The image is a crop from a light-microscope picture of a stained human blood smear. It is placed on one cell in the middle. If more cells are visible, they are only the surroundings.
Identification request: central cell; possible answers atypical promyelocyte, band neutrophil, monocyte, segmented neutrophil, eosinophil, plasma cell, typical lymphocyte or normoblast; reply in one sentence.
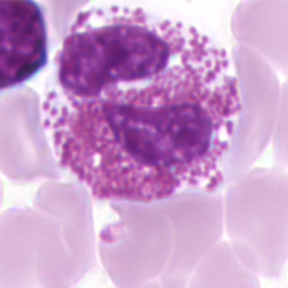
In the crop, the cell of interest at the centre is an eosinophil.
